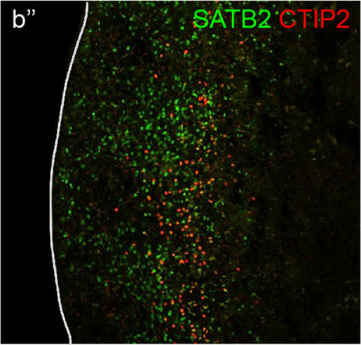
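Many small, round green nuclei are scattered widely through the outer tissue. The red nuclei are fewer and are gathered mainly into a vertical band lying deeper, away from the surface. Some nuclei within this band appear yellowish where the colours overlap.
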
